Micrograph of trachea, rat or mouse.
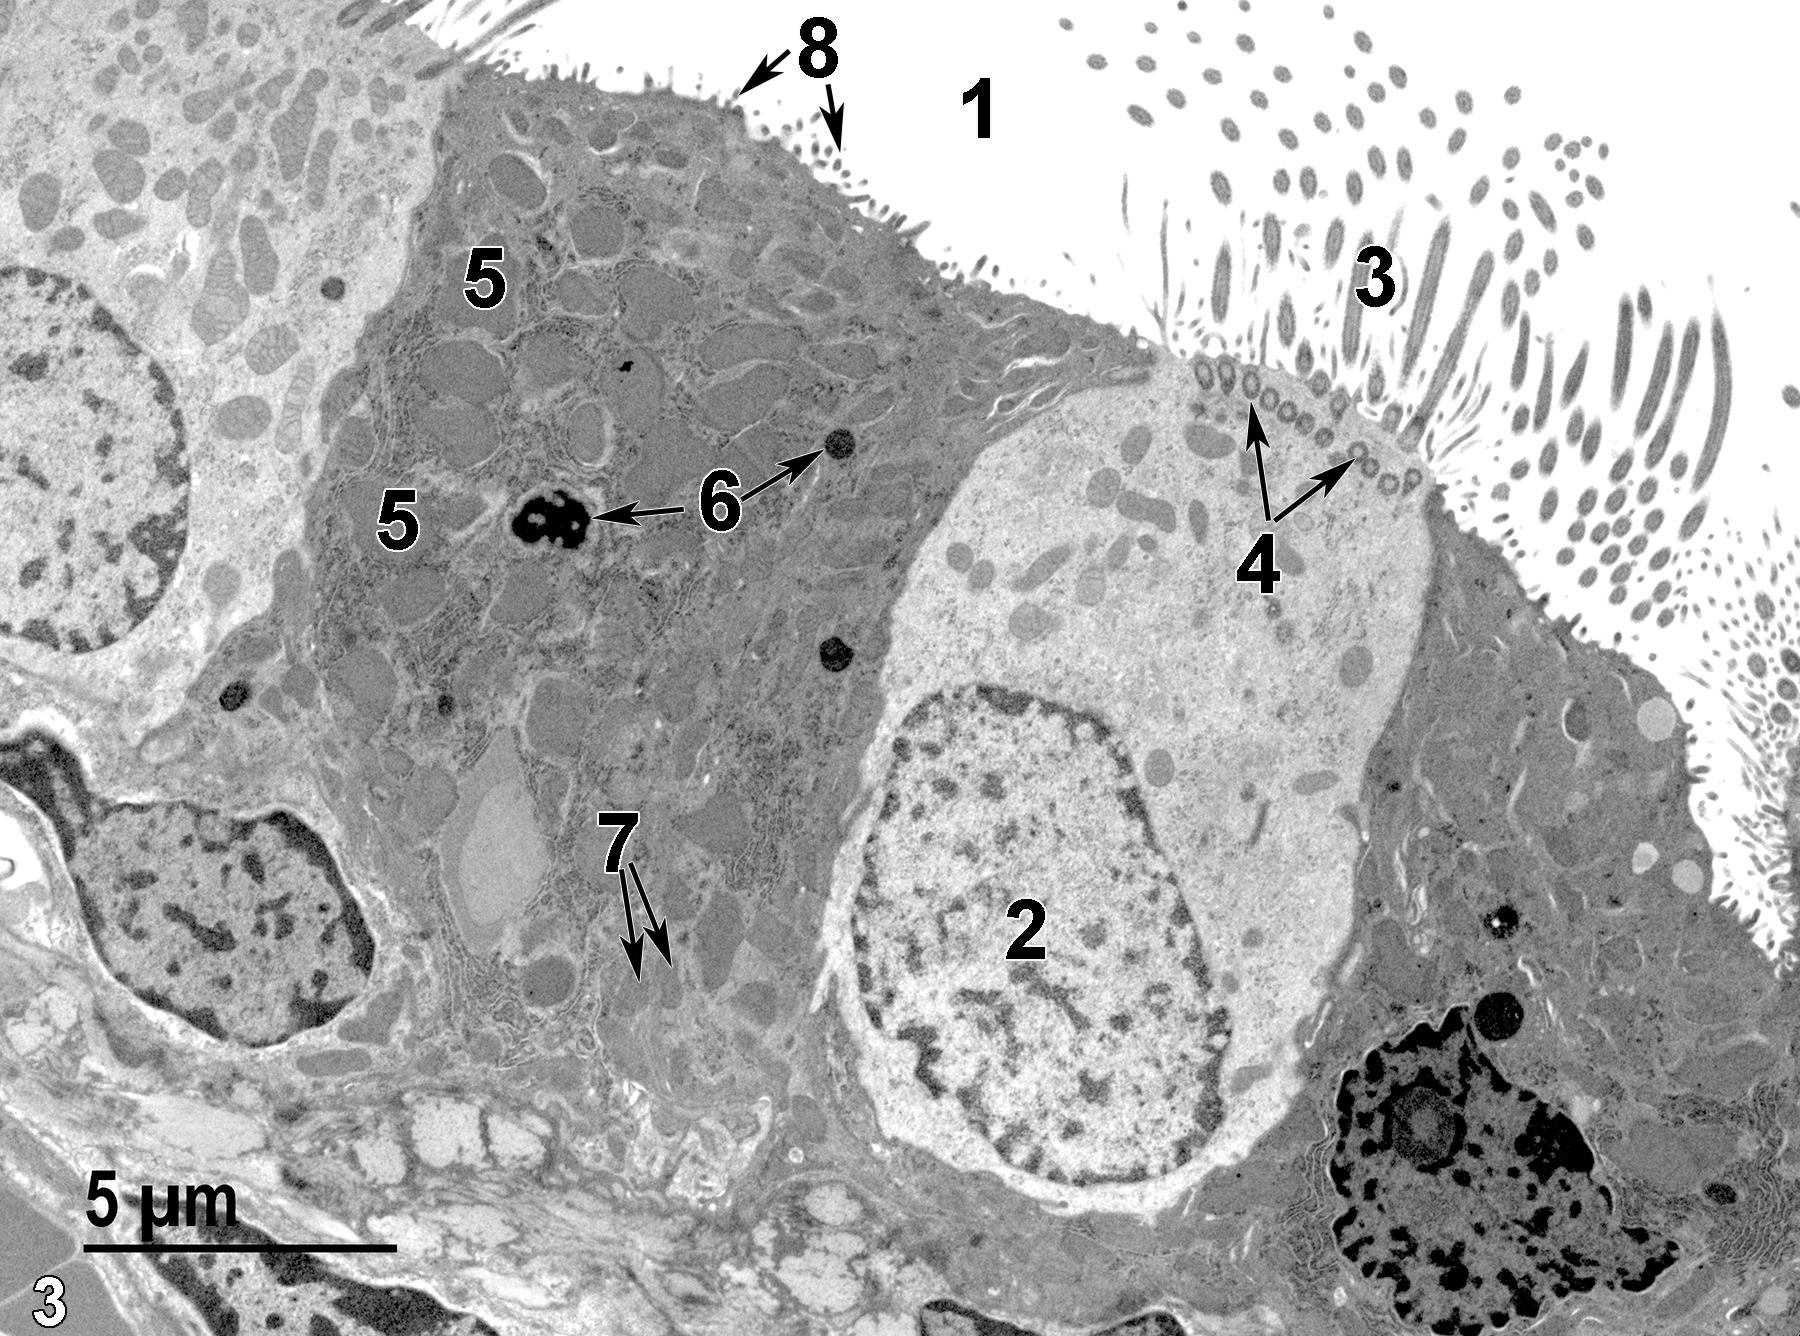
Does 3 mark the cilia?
Yes.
